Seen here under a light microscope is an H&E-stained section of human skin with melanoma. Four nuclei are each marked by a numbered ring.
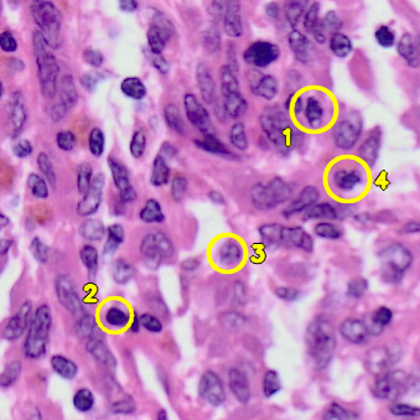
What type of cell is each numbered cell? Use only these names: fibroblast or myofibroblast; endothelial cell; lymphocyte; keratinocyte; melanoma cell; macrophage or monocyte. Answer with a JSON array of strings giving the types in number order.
["lymphocyte", "lymphocyte", "macrophage or monocyte", "lymphocyte"]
